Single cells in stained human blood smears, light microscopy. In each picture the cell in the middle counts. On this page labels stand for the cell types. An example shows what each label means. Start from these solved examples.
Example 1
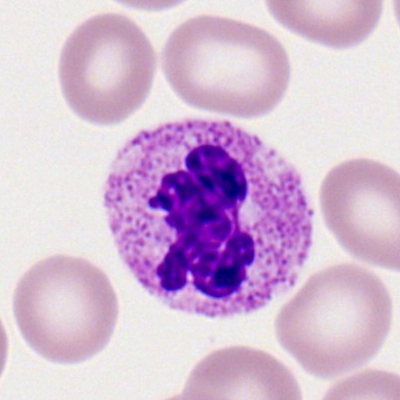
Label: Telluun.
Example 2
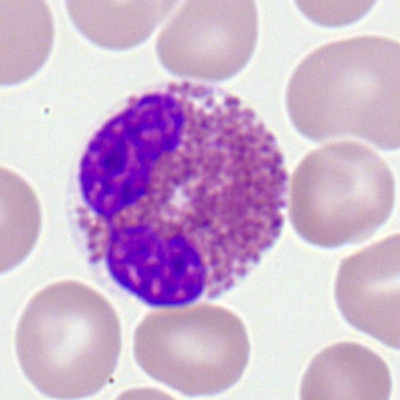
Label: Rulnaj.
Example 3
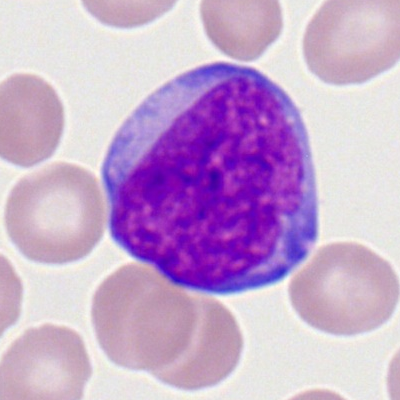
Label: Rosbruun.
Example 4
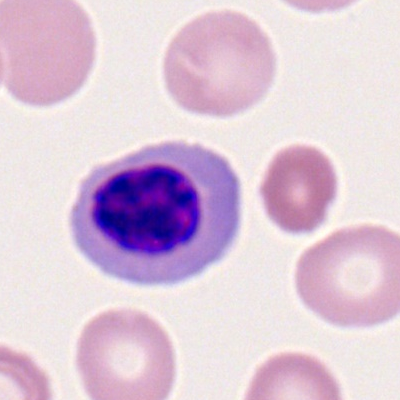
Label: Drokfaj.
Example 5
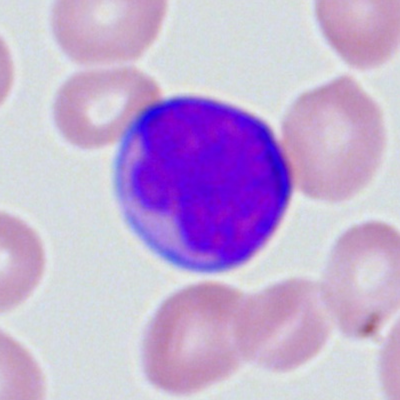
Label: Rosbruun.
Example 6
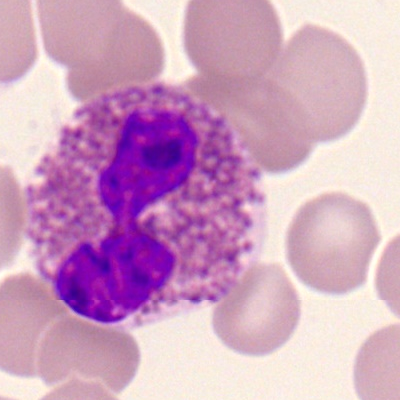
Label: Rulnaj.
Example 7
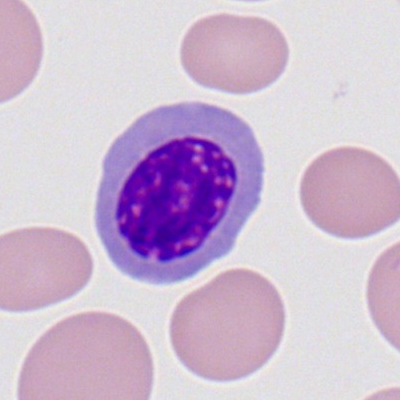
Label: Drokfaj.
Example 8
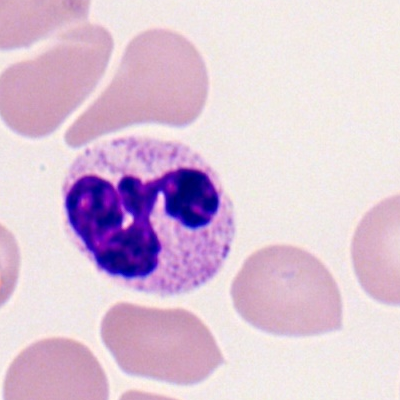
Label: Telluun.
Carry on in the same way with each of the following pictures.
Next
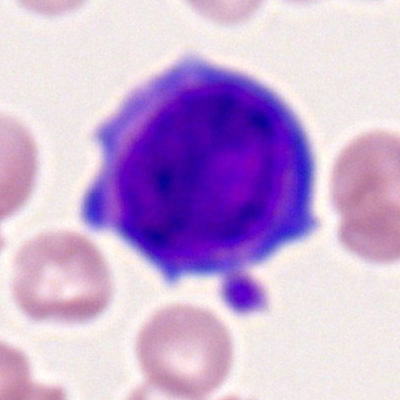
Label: Rosbruun.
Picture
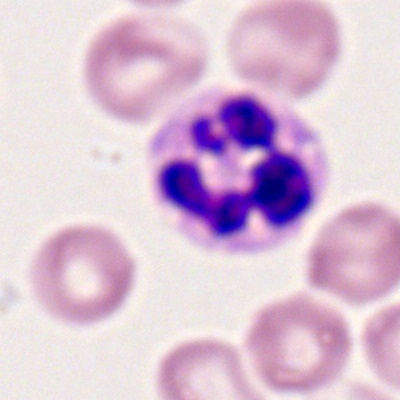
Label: Telluun.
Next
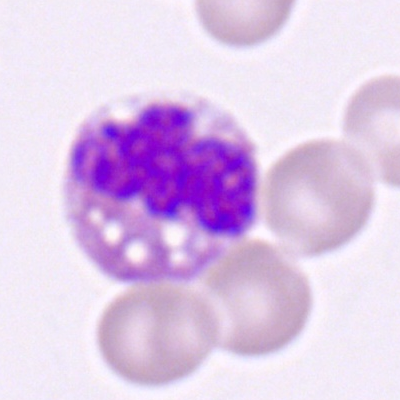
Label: Rulnaj.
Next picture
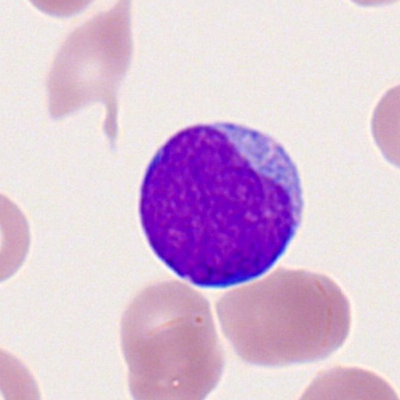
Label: Rosbruun.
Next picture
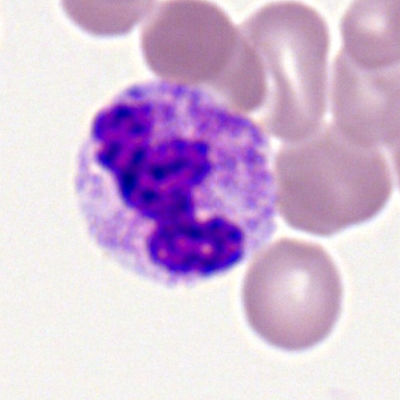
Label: Telluun.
